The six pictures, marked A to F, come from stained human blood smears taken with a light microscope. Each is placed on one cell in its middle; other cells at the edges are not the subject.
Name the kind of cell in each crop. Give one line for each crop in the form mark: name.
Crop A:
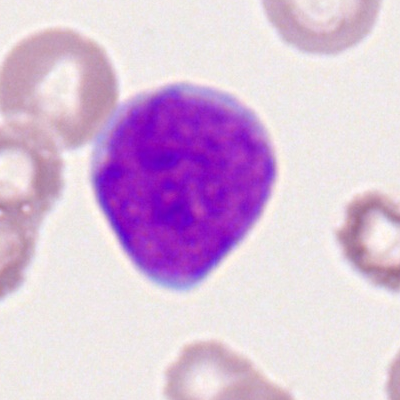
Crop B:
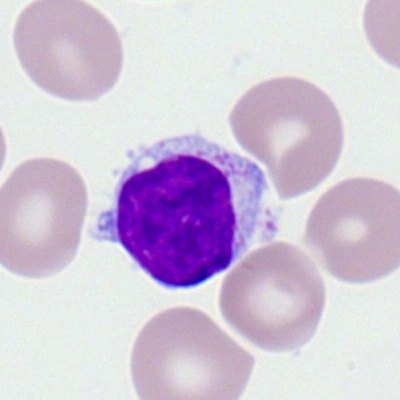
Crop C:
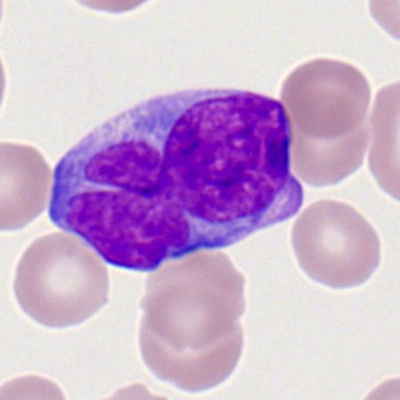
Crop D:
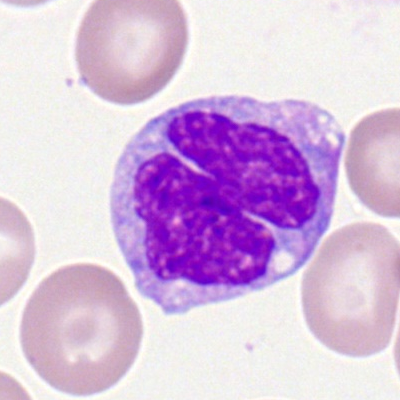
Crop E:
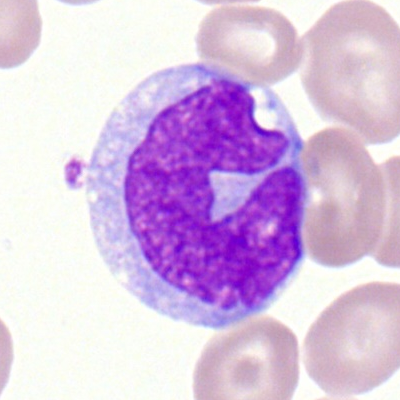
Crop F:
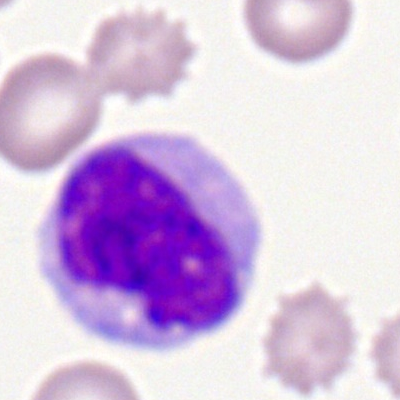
A: myeloblast
B: lymphocyte
C: myeloblast
D: monocyte
E: monocyte
F: monocyte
